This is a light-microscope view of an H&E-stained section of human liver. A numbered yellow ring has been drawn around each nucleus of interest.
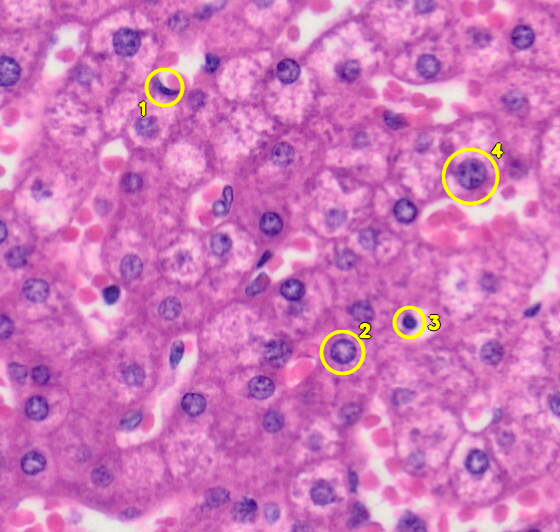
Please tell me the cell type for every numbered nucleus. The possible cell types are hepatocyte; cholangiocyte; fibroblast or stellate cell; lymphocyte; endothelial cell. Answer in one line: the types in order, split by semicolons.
endothelial cell; hepatocyte; lymphocyte; hepatocyte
